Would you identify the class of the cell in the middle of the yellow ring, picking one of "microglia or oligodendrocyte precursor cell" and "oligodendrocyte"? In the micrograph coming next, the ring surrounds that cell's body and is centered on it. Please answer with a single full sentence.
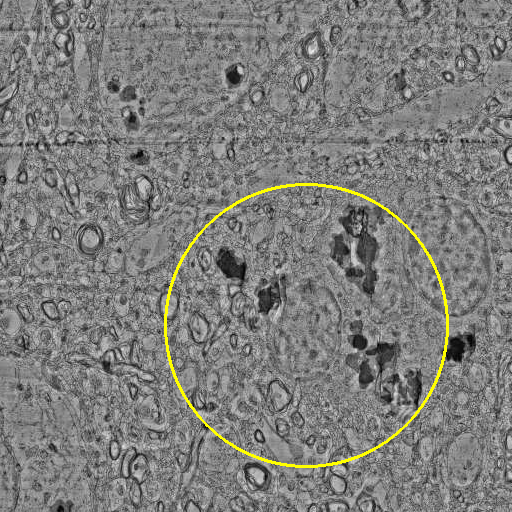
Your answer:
In the micrograph, it is an oligodendrocyte whose body lies at the ring's center.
